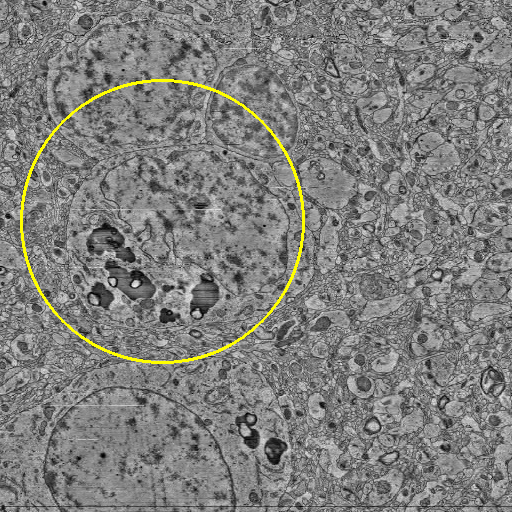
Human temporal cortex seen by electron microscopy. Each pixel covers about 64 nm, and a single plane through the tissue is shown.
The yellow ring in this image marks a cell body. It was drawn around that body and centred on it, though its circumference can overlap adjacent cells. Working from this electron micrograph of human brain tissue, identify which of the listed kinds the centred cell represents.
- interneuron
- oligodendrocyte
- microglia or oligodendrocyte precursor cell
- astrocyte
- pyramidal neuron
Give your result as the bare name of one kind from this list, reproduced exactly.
interneuron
